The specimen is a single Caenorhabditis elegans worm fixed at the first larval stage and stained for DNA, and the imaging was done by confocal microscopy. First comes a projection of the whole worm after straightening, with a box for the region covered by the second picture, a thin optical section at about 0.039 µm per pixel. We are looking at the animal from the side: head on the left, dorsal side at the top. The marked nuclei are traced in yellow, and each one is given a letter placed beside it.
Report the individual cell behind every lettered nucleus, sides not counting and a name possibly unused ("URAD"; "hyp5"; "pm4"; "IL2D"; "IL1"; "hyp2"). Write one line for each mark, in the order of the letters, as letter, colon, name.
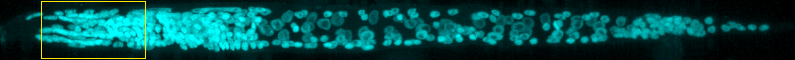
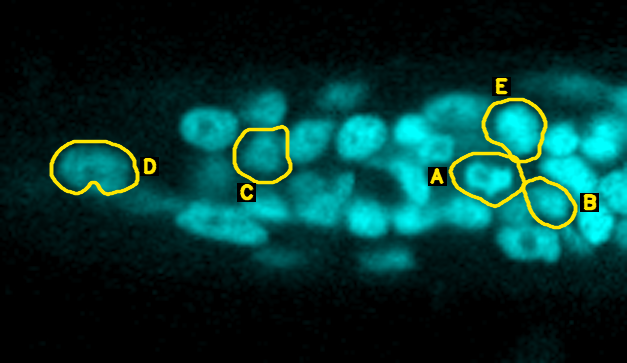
A: pm4
B: IL1
C: hyp2
D: hyp5
E: IL2D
